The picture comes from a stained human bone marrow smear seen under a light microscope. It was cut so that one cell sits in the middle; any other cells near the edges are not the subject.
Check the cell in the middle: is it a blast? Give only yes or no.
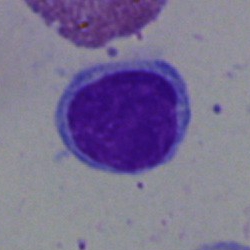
no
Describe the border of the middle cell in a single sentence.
No surface projections are present; the cell outline is smooth.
